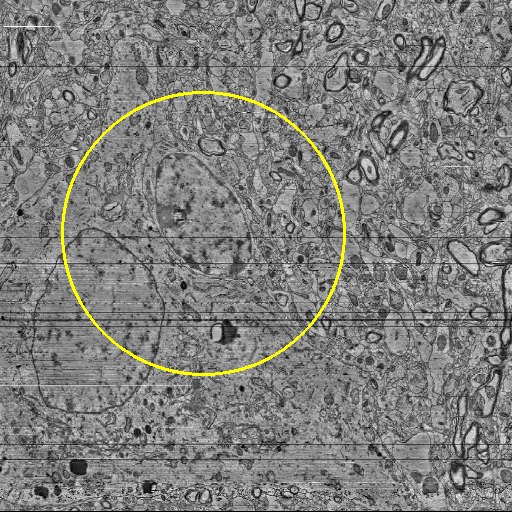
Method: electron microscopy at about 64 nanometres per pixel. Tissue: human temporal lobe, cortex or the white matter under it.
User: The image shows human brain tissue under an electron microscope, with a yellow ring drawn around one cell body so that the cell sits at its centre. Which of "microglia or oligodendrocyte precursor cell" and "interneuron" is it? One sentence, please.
At the centre of the ring sits a microglial cell or oligodendrocyte precursor cell.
